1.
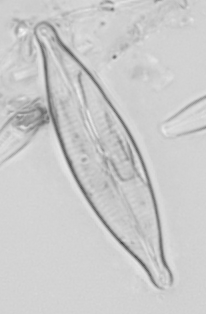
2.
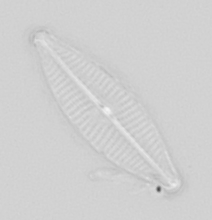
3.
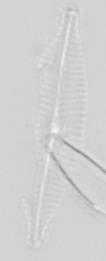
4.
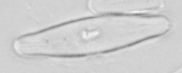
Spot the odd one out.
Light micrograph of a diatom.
Picture 4 (Achnanthidium among Navicula).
